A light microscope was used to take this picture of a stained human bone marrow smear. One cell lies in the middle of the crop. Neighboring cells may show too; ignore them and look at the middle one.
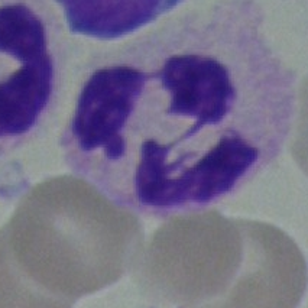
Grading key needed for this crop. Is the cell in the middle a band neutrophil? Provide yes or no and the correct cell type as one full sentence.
No, what occupies the middle of the crop is a segmented neutrophil and not a band neutrophil.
